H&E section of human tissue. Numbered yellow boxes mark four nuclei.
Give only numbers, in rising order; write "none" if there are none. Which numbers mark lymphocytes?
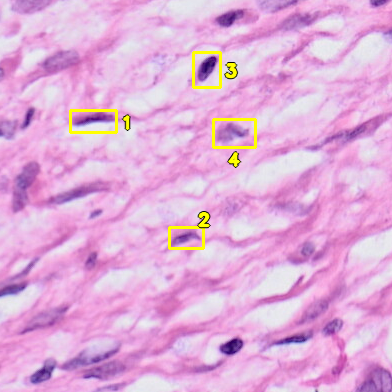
3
